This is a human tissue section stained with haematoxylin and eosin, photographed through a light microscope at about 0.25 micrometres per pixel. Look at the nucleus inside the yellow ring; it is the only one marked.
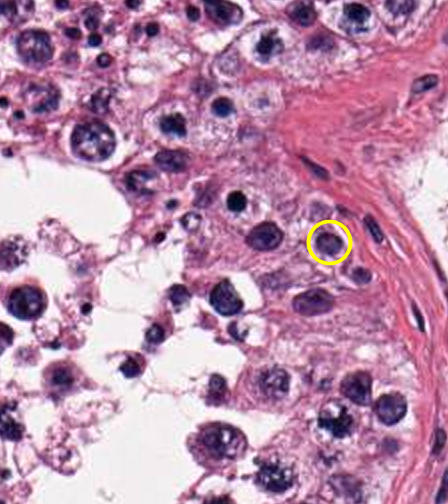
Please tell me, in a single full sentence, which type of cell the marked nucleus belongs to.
The owner of the marked nucleus is a spermatogonium.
